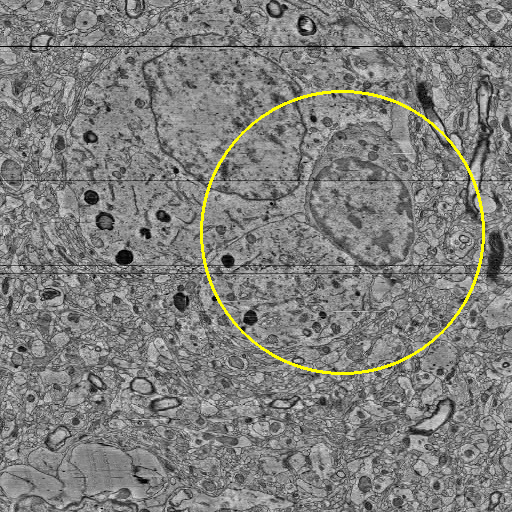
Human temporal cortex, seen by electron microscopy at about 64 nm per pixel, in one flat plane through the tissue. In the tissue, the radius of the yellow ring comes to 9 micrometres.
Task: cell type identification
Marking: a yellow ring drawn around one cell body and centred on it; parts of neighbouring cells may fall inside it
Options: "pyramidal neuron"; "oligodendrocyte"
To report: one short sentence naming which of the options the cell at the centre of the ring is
The cell at the centre of the ring is an oligodendrocyte.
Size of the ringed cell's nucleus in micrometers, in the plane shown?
About 8 micrometres by about 6 micrometres in this plane.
